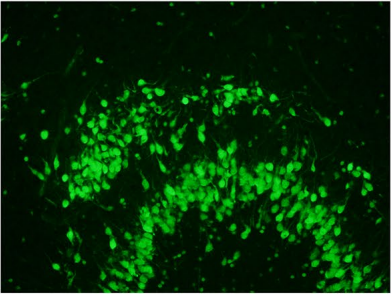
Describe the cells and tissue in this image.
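Neurons of the hippocampus appear as bright green, rounded to oval cell bodies against a dark background. Within the band the cells are packed closely but not uniformly, with looser stretches and cells straying outside its borders. Outside the band, single green cells and small green dots lie scattered through the tissue. Some cells show short tapering extensions of faint green at one pole.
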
